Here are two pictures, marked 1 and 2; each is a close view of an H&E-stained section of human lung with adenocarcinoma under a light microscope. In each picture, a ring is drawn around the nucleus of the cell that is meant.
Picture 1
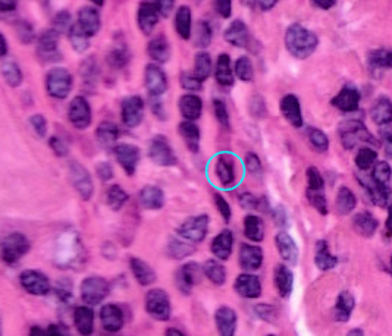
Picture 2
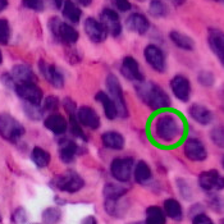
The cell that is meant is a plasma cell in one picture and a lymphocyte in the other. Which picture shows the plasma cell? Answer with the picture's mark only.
1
